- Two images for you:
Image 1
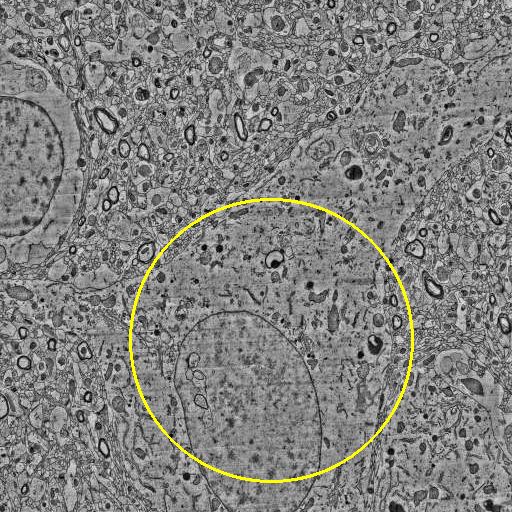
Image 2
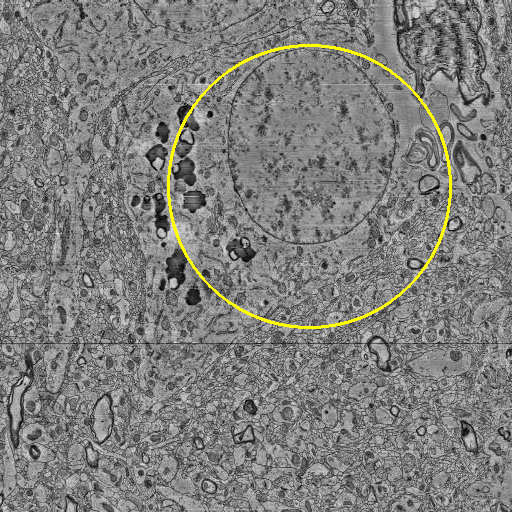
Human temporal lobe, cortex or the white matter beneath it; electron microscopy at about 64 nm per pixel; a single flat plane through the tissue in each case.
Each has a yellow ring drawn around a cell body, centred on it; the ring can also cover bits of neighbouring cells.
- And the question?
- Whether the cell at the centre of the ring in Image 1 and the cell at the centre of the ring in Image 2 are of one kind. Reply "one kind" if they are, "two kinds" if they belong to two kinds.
one kind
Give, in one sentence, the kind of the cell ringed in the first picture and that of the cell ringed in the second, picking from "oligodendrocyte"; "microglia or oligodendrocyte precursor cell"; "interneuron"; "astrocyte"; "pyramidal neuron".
Each cell, in the first picture and the second, is a pyramidal neuron.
